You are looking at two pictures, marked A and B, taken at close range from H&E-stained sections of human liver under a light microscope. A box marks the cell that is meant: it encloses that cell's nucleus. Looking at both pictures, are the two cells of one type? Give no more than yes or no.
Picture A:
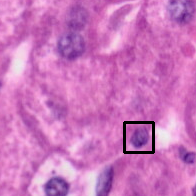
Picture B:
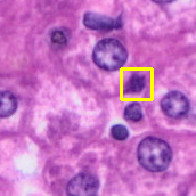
yes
